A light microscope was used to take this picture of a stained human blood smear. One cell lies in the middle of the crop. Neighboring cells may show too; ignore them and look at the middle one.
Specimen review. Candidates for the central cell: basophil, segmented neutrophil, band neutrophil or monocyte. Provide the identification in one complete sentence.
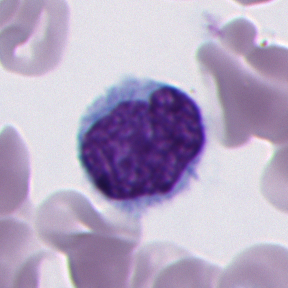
Looking at the middle of the crop, the cell there is a monocyte.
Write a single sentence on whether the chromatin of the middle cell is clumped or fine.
Take a look at the chromatin, which is coarsely clumped.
